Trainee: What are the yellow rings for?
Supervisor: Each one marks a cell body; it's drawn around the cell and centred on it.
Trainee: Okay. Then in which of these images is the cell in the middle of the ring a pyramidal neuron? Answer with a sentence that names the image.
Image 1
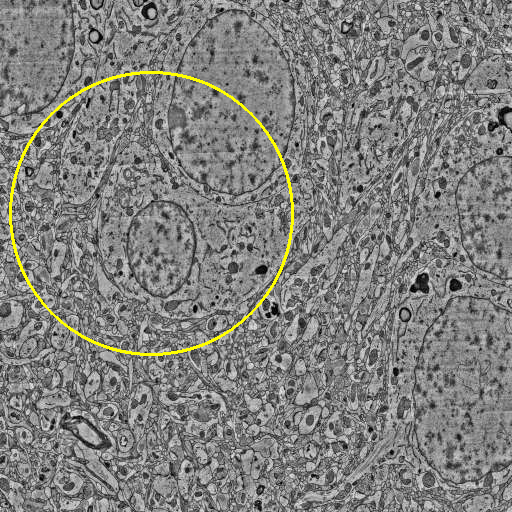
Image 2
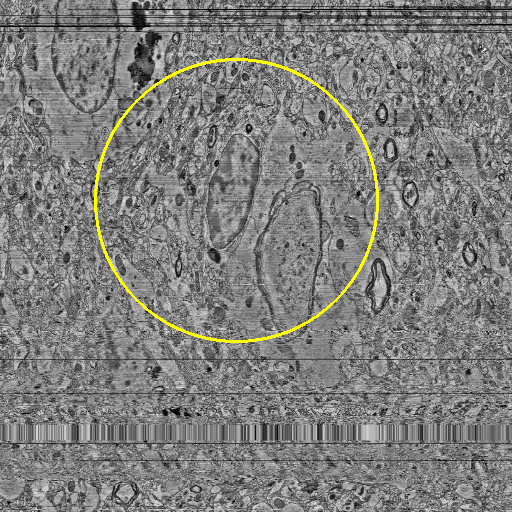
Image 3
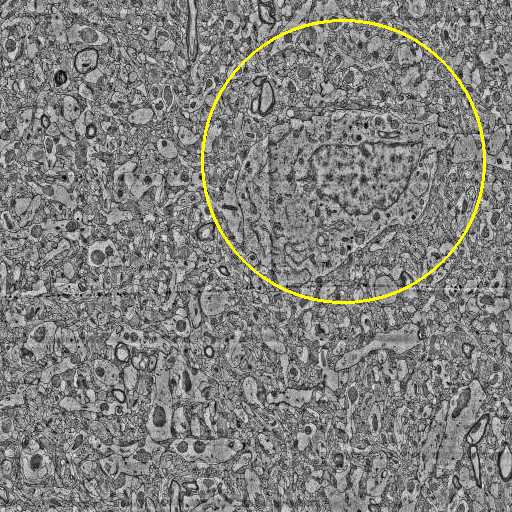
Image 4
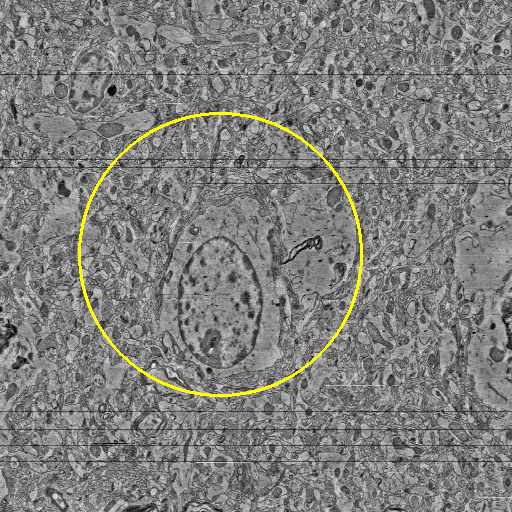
Image 1 has it in the middle of the ring.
